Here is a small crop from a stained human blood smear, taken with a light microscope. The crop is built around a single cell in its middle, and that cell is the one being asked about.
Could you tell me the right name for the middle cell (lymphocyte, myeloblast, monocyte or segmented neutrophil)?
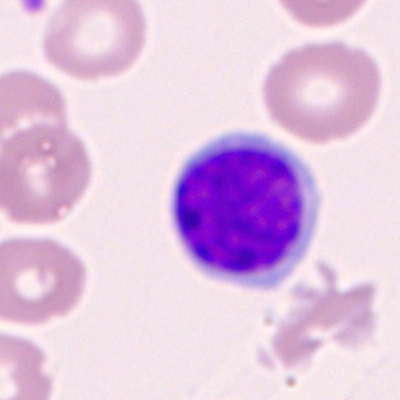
lymphocyte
